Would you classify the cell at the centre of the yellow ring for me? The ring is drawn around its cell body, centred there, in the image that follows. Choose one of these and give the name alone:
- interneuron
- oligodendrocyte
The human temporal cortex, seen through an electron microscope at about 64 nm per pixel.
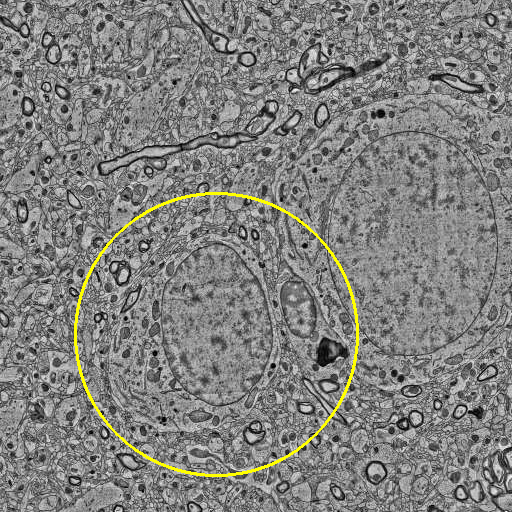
interneuron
